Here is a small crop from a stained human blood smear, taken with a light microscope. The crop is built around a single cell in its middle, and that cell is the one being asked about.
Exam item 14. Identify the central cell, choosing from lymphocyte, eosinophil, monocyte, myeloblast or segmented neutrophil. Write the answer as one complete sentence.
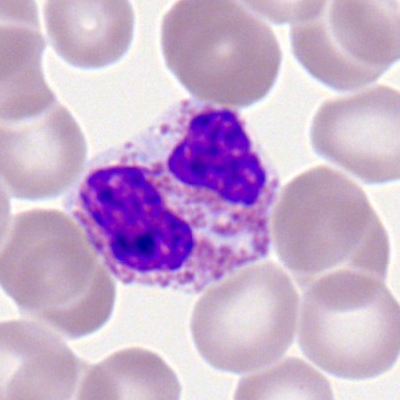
Centred in the crop is an eosinophil.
